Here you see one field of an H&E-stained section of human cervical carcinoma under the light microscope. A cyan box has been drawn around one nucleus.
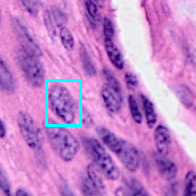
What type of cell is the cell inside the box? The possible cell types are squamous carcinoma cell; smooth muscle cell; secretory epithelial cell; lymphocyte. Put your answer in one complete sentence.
By cell type, the cell inside the box is a squamous carcinoma cell.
